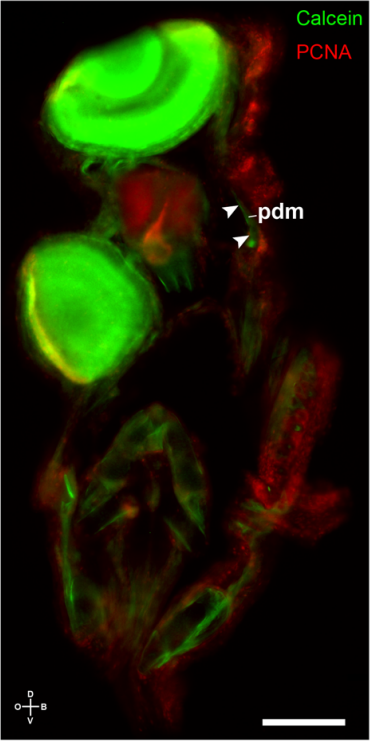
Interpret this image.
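This is a cross section through the head of a flatfish larva, with the two eyes standing out as large rounded bodies that glow bright green, one high and one lower on the section. Between and around them lies tissue that takes up the red label, including a red mass between the two eyes. Further down, the jaw and gill region shows a framework of thin green and red elongated structures.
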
